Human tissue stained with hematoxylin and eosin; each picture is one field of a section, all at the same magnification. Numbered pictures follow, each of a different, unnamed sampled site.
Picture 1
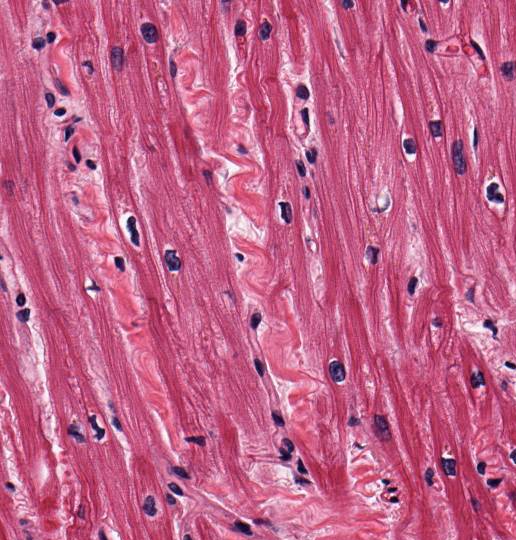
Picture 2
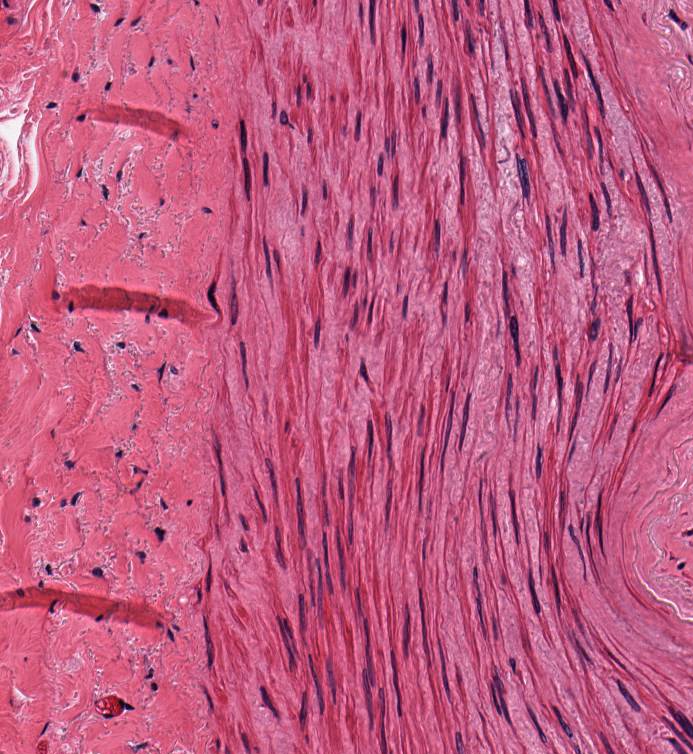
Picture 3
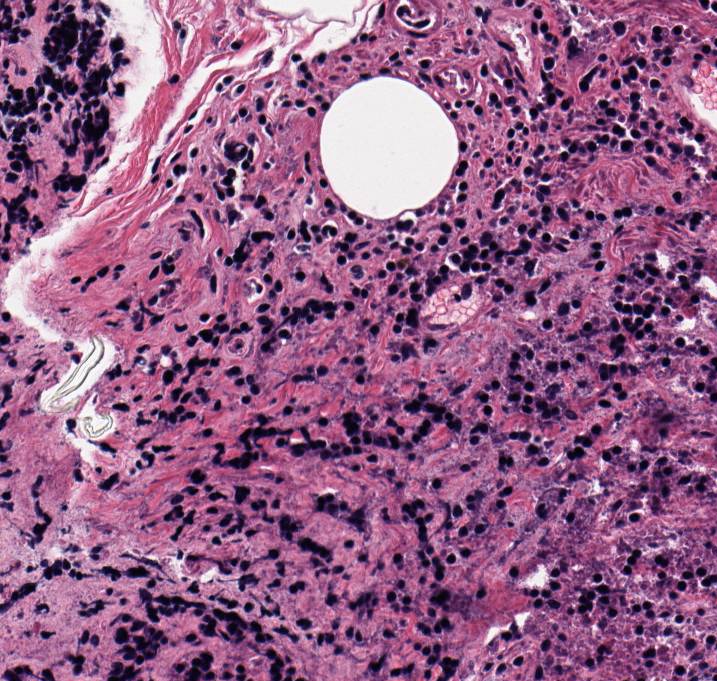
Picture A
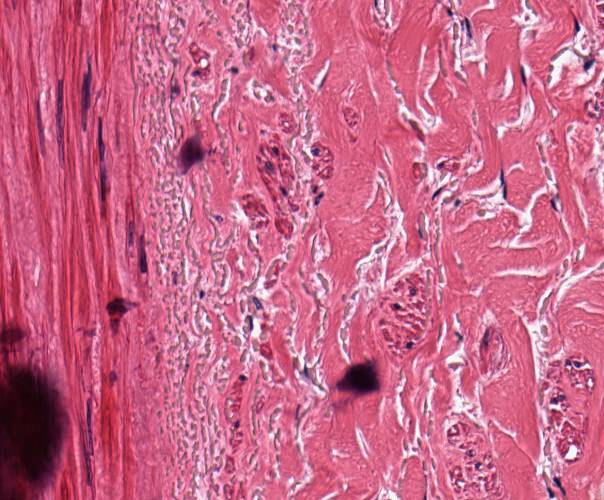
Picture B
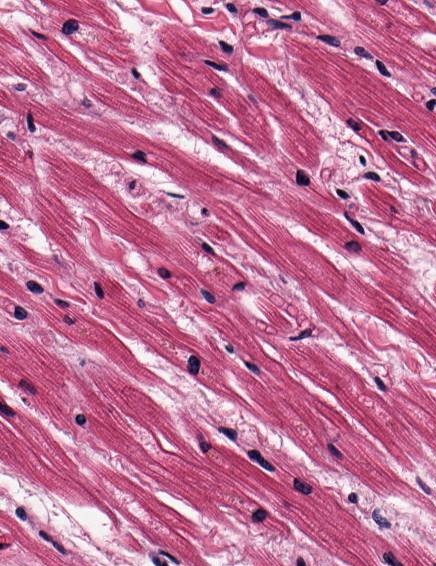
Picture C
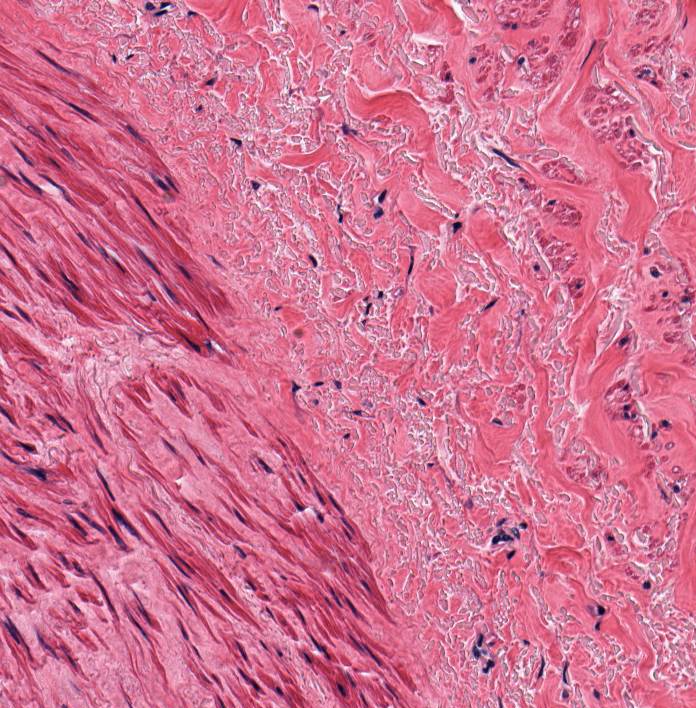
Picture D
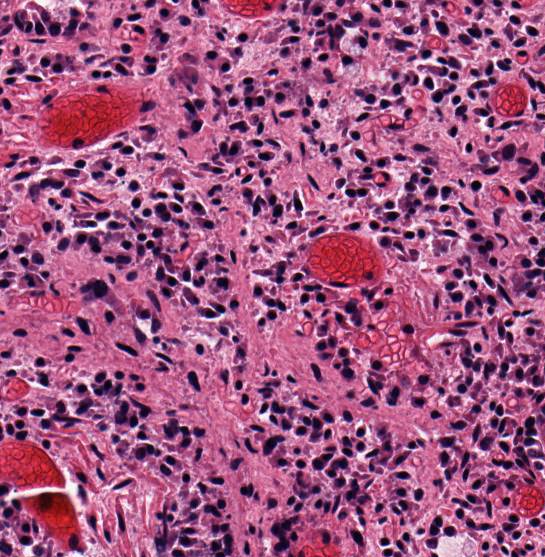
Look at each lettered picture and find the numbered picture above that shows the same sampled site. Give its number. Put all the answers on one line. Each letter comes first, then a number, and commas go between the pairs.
A 2, B 1, C 2, D 3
